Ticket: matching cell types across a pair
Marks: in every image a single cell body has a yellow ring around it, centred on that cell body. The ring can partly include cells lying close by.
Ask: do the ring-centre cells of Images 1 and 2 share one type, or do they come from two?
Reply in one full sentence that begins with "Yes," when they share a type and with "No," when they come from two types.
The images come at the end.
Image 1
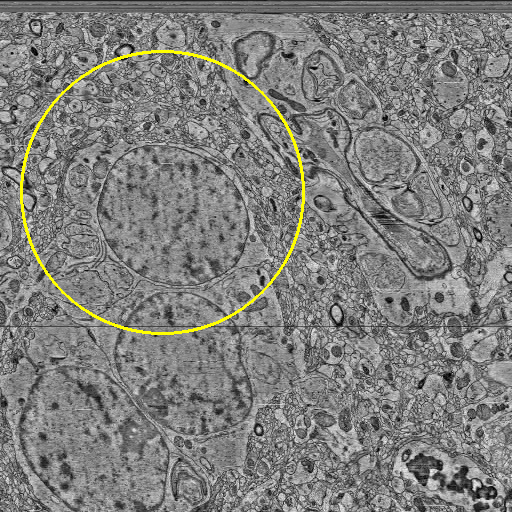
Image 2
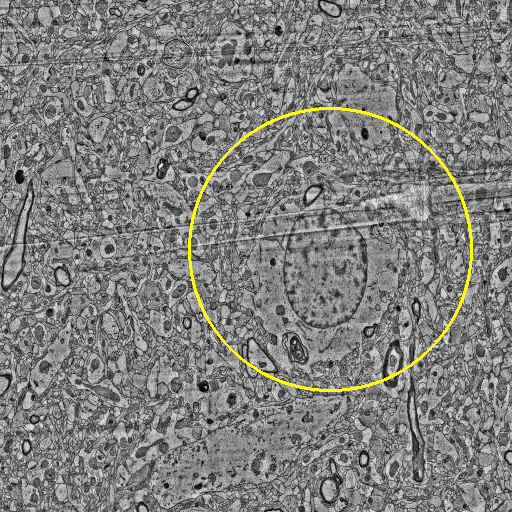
Yes, the cells in the centres of the rings in Image 1 and Image 2 share one type.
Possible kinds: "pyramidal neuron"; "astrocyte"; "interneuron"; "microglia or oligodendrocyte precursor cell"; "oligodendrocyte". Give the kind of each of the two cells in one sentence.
In each of the two pictures, the ringed cell is an astrocyte.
